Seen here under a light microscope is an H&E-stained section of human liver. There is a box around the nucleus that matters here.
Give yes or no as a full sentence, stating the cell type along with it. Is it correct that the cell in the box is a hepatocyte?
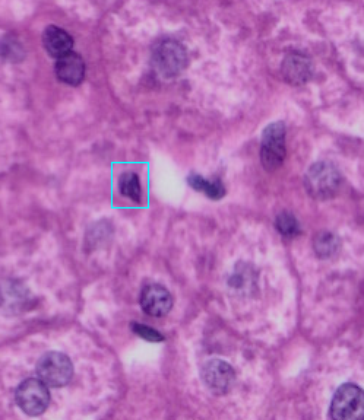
No, the cell in the box corresponds to a fibroblast or stellate cell rather than to a hepatocyte.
